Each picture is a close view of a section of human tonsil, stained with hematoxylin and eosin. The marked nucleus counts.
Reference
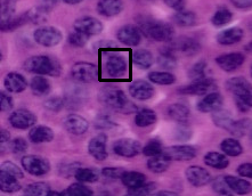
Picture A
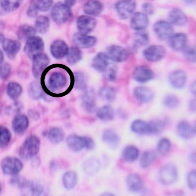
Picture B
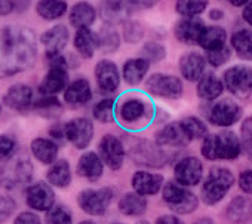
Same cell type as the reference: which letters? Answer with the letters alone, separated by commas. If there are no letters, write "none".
none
